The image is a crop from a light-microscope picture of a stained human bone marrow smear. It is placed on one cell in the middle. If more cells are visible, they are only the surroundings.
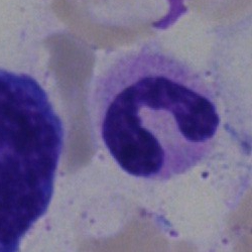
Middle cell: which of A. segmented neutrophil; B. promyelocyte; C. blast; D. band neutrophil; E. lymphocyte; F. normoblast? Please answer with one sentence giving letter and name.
The cell right in the middle is a segmented neutrophil, so option A is the one.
